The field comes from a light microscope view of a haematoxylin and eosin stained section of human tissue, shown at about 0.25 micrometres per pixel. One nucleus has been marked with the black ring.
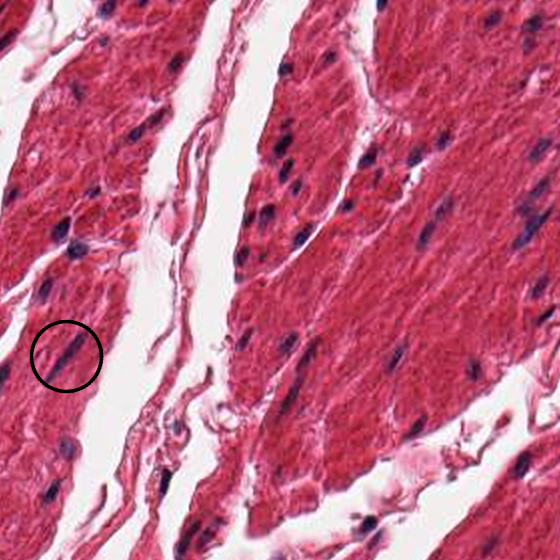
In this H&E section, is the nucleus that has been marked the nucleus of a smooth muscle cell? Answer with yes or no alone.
yes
